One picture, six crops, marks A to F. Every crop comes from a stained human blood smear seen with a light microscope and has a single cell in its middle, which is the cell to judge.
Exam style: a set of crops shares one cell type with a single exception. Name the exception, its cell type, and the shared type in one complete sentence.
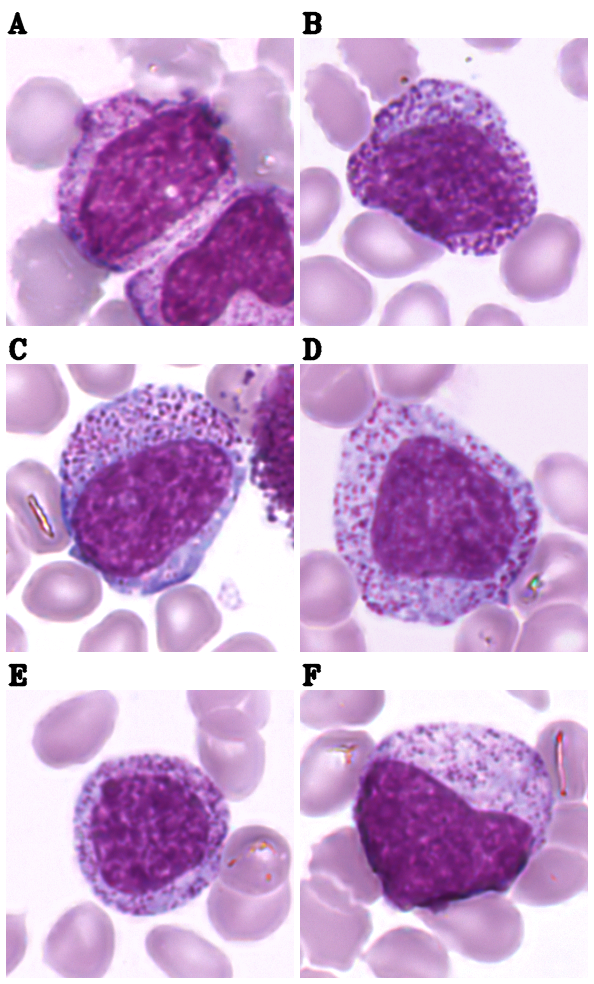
Only crop C differs, being a promyelocyte, while the others all show myelocytes.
